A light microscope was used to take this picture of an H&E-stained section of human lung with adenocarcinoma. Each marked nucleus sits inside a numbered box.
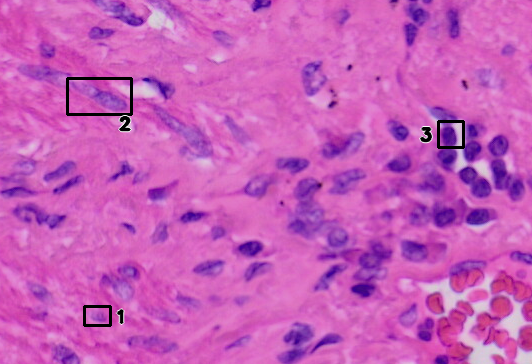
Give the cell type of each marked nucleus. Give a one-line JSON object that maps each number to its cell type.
{"1": "smooth muscle cell or pericyte", "2": "smooth muscle cell or pericyte", "3": "lymphocyte"}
